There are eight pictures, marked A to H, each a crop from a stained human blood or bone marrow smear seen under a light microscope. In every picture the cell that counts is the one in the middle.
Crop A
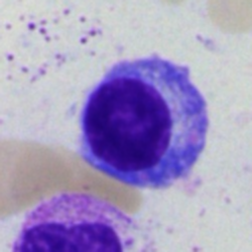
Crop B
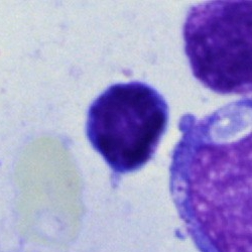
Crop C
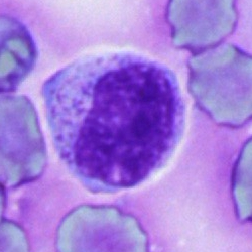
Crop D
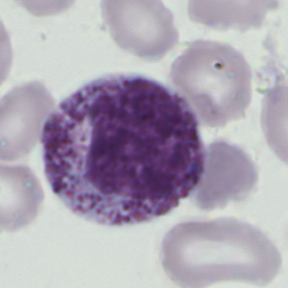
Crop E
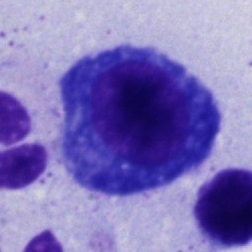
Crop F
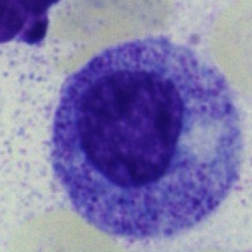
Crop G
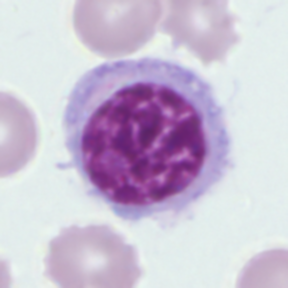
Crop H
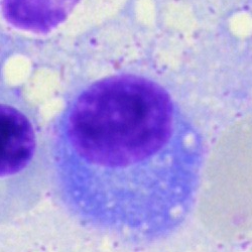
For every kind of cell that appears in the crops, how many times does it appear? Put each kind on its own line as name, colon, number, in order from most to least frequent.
plasma cell: 4
myelocyte: 3
lymphocyte: 1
